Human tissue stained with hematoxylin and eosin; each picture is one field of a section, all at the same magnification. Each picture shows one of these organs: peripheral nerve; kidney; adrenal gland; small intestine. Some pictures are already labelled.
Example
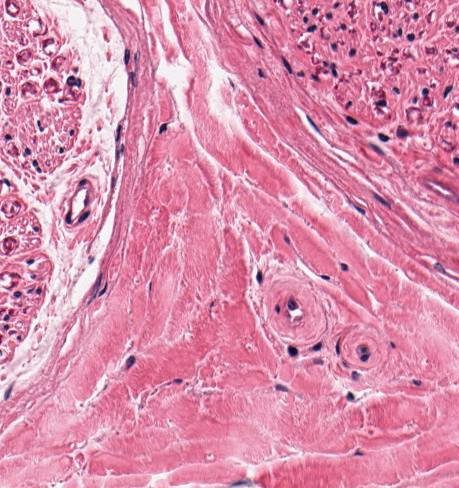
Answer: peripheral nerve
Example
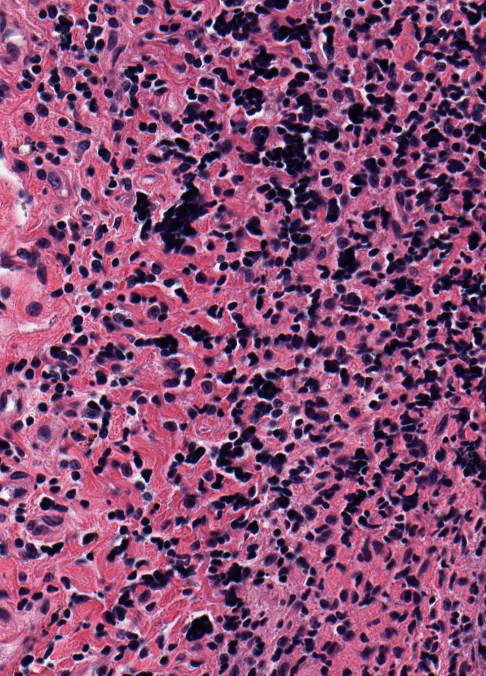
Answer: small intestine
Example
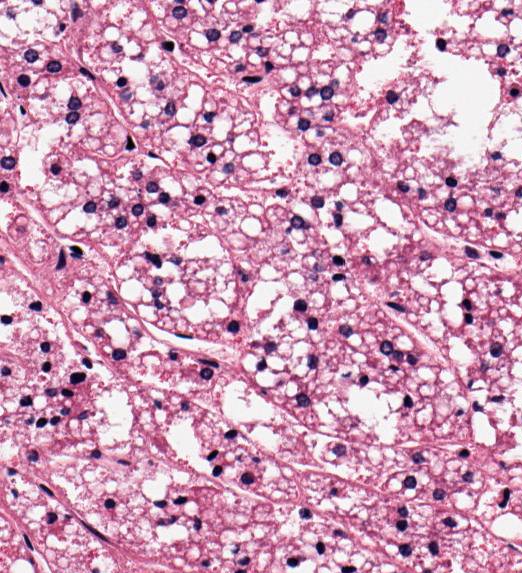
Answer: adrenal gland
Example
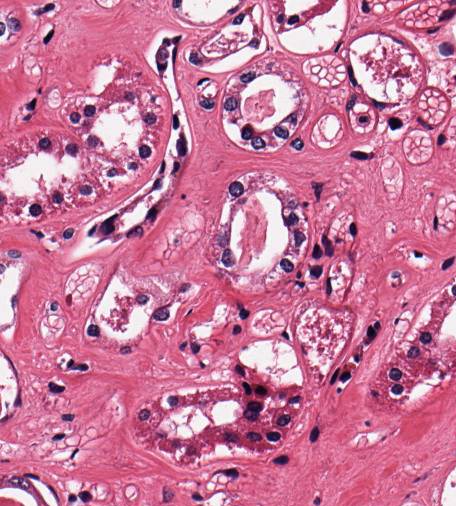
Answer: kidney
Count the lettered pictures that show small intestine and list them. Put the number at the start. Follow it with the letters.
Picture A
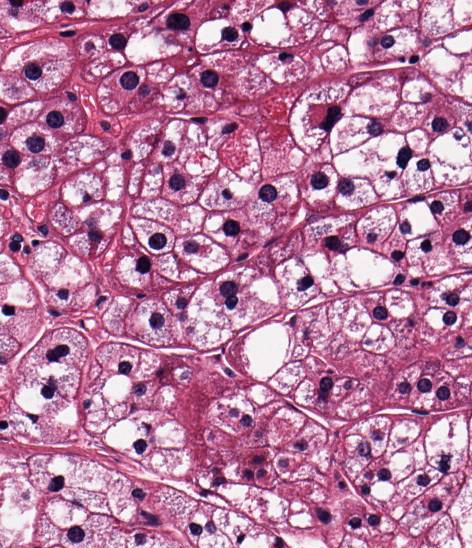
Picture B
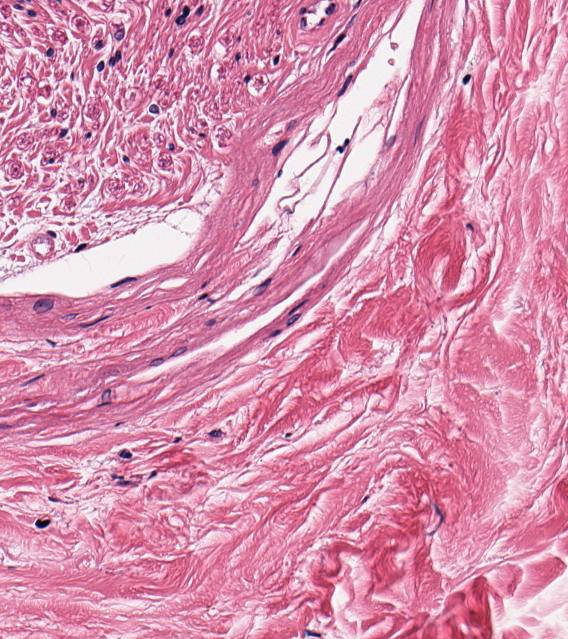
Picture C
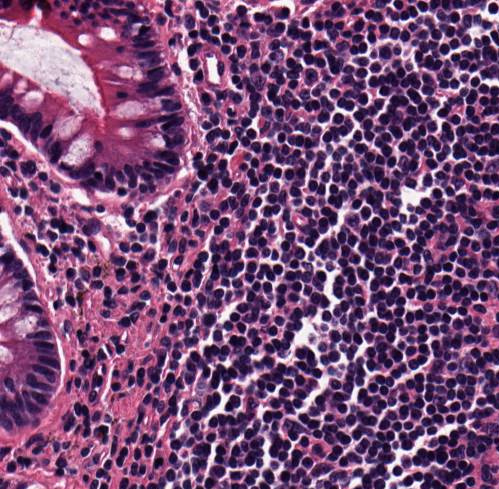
1, namely C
